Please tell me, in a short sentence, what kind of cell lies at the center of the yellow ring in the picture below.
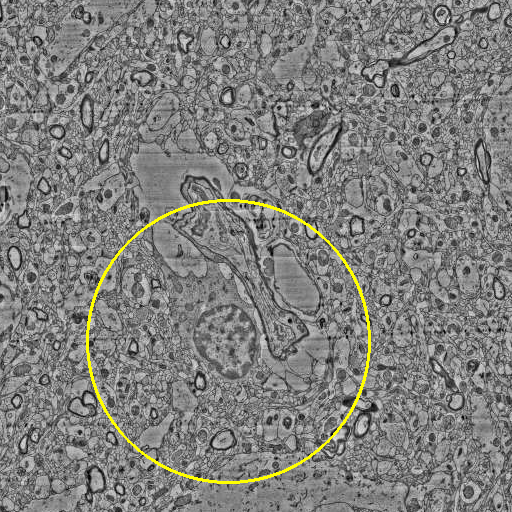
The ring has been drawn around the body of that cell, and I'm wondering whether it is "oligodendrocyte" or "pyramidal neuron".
The cell at the center of the ring is an oligodendrocyte.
